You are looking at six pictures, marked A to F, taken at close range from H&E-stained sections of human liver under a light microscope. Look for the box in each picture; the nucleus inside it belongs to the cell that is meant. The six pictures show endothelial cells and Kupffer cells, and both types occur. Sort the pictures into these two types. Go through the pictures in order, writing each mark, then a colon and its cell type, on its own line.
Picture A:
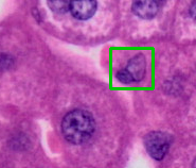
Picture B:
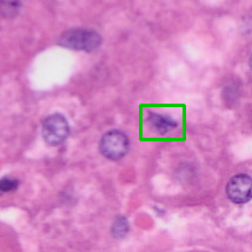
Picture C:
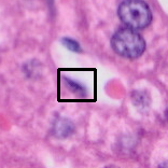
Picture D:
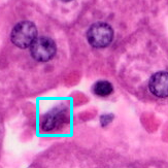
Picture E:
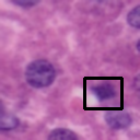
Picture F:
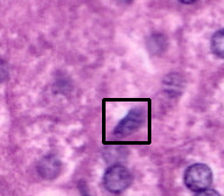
A: Kupffer cell
B: endothelial cell
C: endothelial cell
D: Kupffer cell
E: endothelial cell
F: endothelial cell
